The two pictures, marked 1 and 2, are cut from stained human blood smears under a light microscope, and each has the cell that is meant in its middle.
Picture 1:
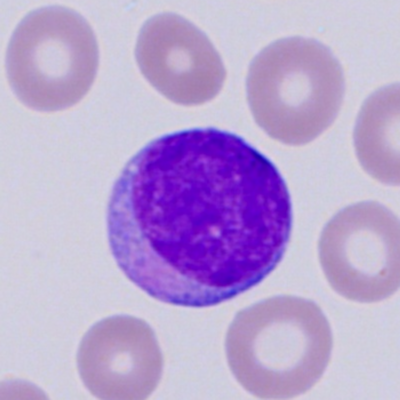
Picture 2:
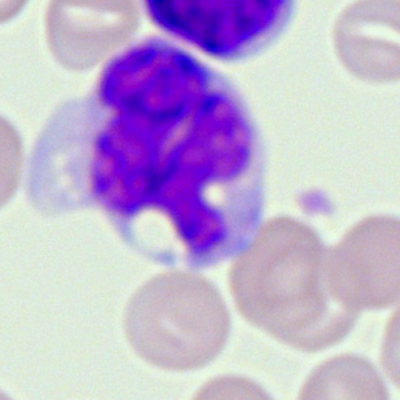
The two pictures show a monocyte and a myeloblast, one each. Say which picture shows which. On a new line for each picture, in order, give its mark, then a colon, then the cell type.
1: myeloblast
2: monocyte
